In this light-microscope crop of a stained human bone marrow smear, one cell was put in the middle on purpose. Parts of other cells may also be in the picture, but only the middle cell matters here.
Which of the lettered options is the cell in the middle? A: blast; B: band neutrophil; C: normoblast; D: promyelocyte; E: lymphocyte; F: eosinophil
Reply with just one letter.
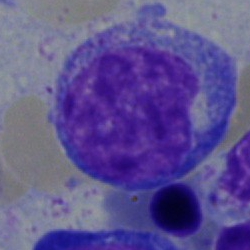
A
